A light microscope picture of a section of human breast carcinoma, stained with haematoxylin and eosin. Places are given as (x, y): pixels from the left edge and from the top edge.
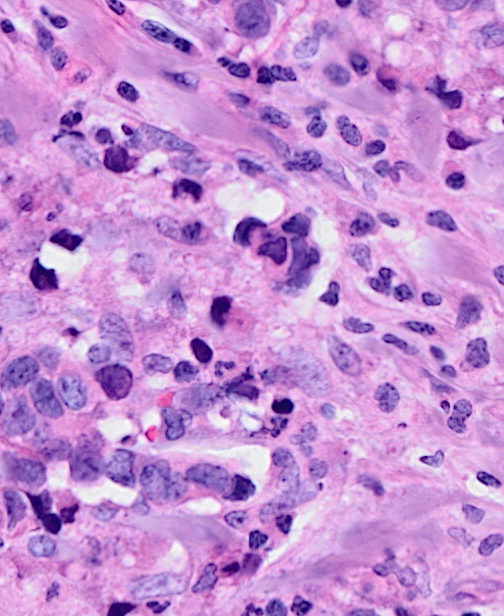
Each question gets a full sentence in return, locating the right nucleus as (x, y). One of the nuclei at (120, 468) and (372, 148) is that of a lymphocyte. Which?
The nucleus whose position is (372, 148) belongs to a lymphocyte.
